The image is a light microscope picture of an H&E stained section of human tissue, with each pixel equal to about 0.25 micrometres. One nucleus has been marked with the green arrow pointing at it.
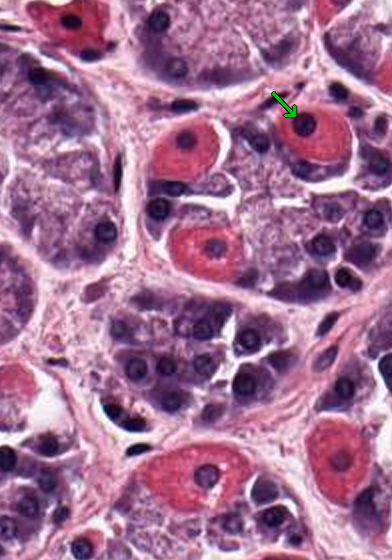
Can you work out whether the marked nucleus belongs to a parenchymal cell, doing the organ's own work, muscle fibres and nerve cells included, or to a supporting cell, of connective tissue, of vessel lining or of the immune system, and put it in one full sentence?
In this picture the marked nucleus belongs to a parietal cell, a parenchymal cell.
